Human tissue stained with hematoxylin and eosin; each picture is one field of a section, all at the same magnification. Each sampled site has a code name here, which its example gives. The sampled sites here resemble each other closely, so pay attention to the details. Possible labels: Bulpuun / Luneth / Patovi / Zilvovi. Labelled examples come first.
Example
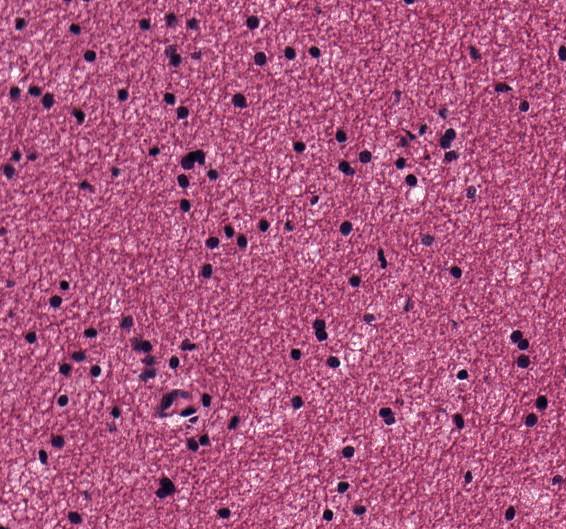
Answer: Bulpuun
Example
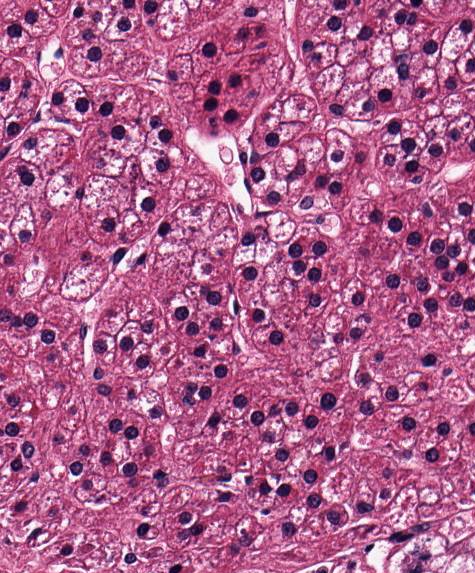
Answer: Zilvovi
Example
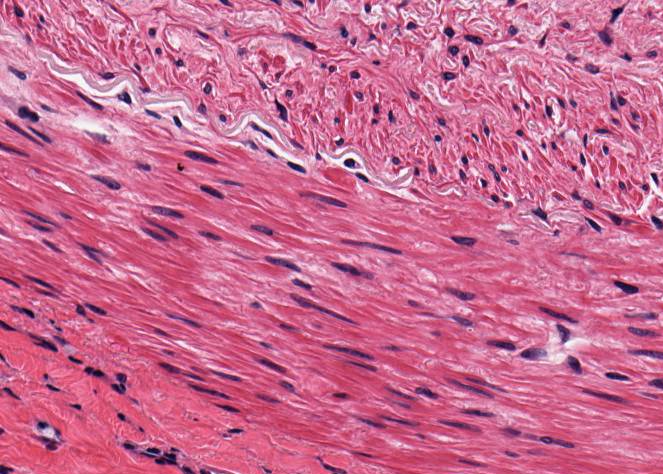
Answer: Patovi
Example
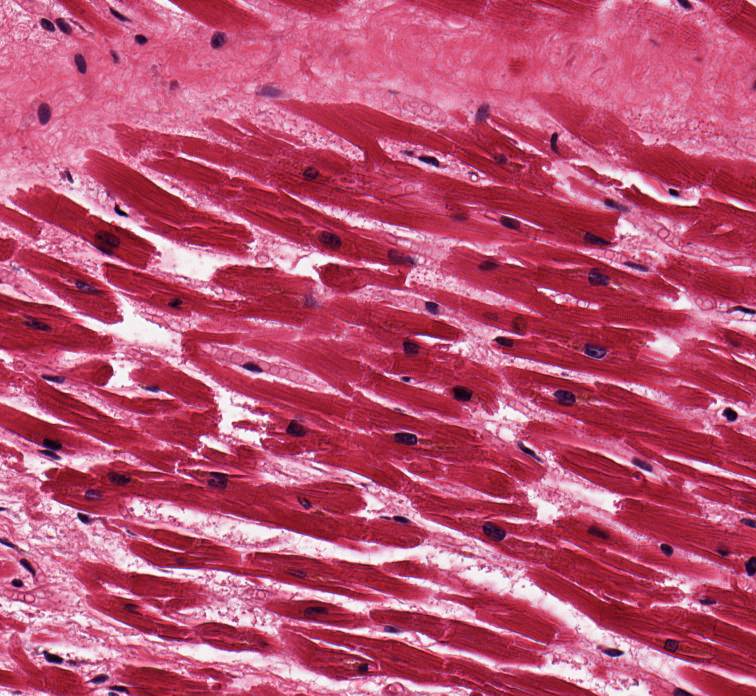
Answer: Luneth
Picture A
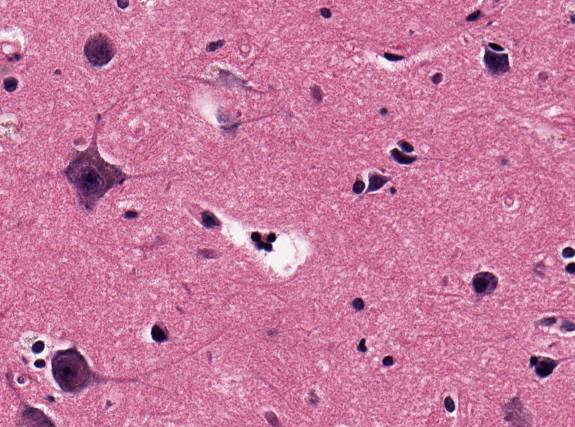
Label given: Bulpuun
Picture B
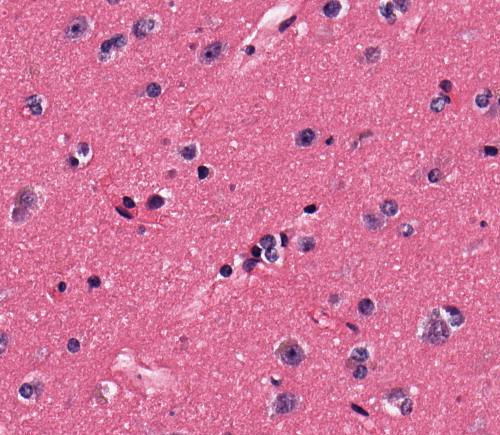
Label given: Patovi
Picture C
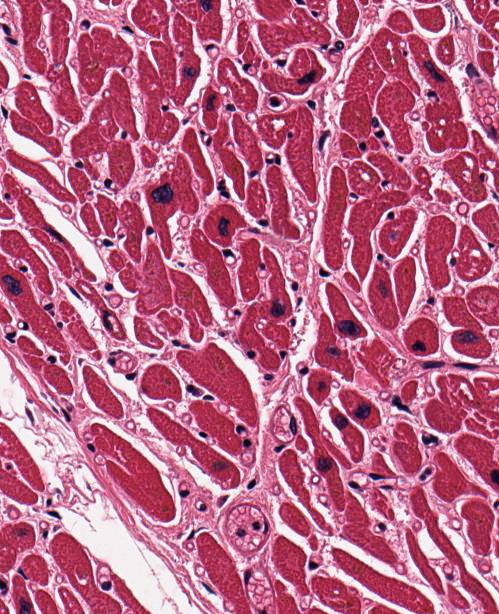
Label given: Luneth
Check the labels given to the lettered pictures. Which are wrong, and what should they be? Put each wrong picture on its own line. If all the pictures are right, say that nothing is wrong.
B is labelled Patovi; correct label: Bulpuun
